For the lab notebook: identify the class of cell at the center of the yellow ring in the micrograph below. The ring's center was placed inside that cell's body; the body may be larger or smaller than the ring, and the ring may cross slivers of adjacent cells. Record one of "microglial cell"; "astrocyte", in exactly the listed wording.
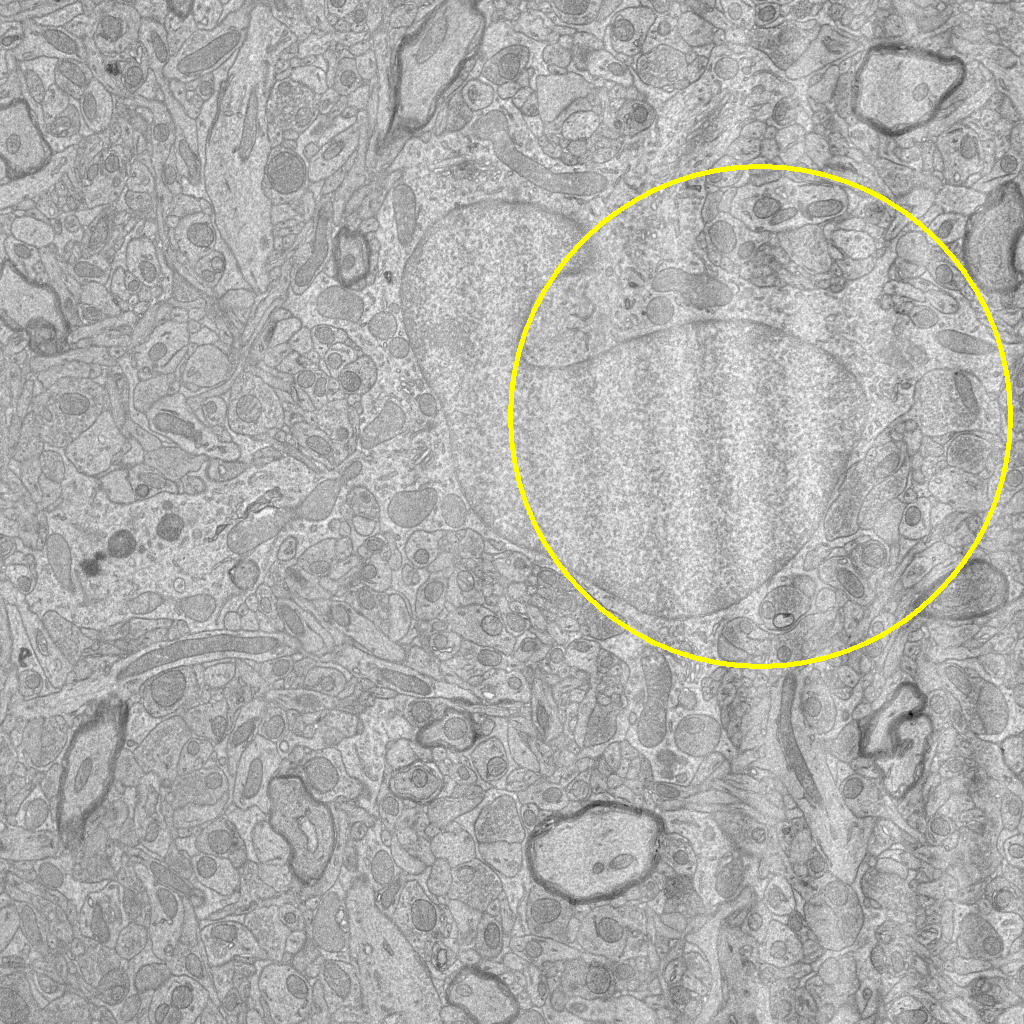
astrocyte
